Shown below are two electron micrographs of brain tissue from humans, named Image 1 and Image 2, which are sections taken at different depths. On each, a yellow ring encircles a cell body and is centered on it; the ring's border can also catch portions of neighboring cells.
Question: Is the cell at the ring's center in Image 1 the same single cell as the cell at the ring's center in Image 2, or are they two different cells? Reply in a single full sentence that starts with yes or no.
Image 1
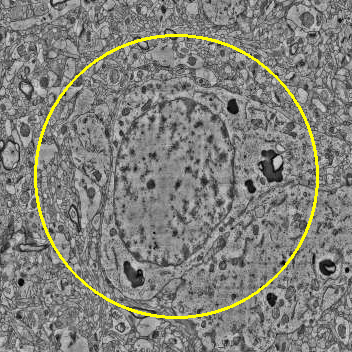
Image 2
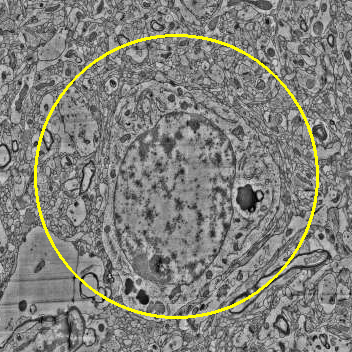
Yes, the cell inside the first ring is the cell inside the second.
